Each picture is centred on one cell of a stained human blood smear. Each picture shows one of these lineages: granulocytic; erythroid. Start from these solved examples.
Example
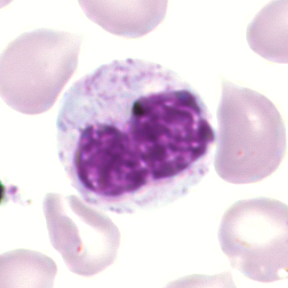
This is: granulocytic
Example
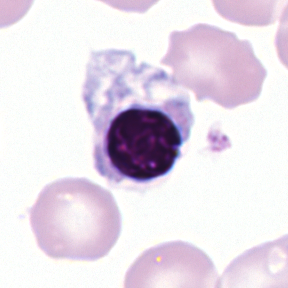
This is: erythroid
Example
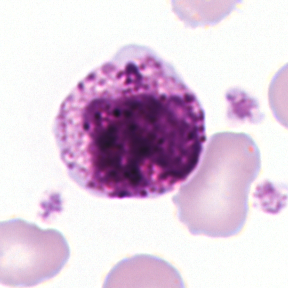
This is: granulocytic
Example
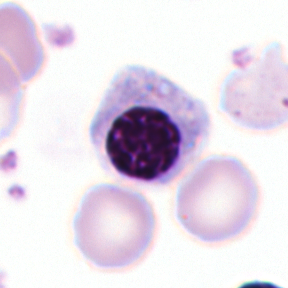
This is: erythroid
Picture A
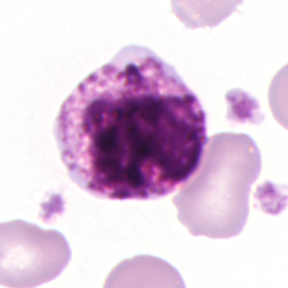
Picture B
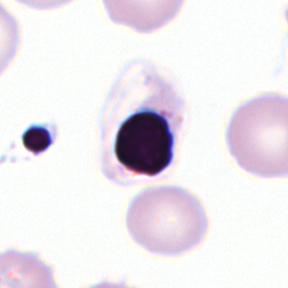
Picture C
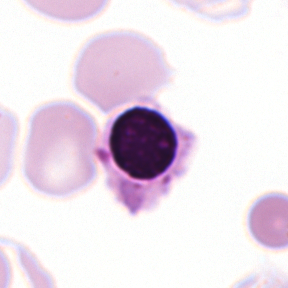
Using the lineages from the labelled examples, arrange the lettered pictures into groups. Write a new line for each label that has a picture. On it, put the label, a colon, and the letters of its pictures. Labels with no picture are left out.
granulocytic: A
erythroid: B, C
